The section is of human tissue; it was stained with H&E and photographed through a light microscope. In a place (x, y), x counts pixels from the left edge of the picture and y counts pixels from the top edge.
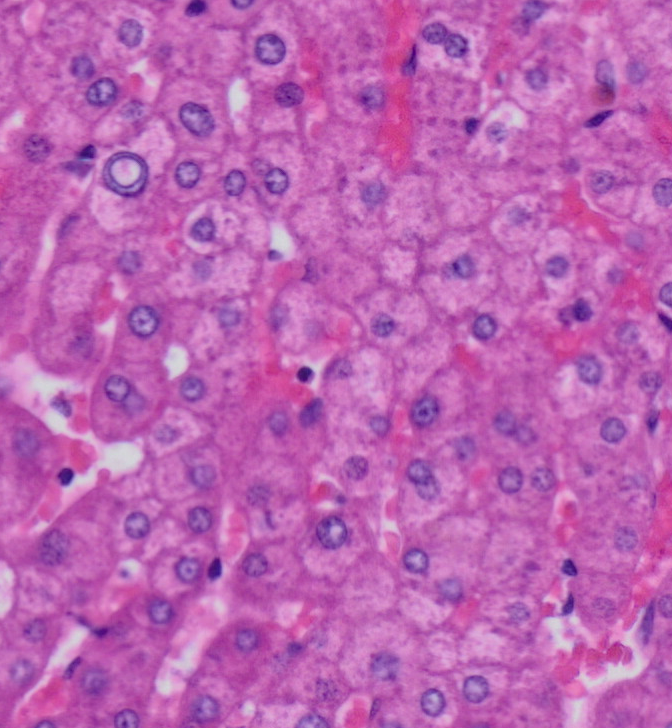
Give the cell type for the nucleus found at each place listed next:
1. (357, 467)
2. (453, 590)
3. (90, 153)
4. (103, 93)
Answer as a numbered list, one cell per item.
1. hepatocyte
2. hepatocyte
3. fibroblast or stellate cell
4. hepatocyte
